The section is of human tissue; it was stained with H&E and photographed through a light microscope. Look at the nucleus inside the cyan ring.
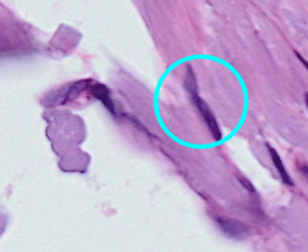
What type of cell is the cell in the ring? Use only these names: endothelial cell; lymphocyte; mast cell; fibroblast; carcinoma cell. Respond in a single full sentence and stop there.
Right, so the cell in the ring is a fibroblast, to answer that.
